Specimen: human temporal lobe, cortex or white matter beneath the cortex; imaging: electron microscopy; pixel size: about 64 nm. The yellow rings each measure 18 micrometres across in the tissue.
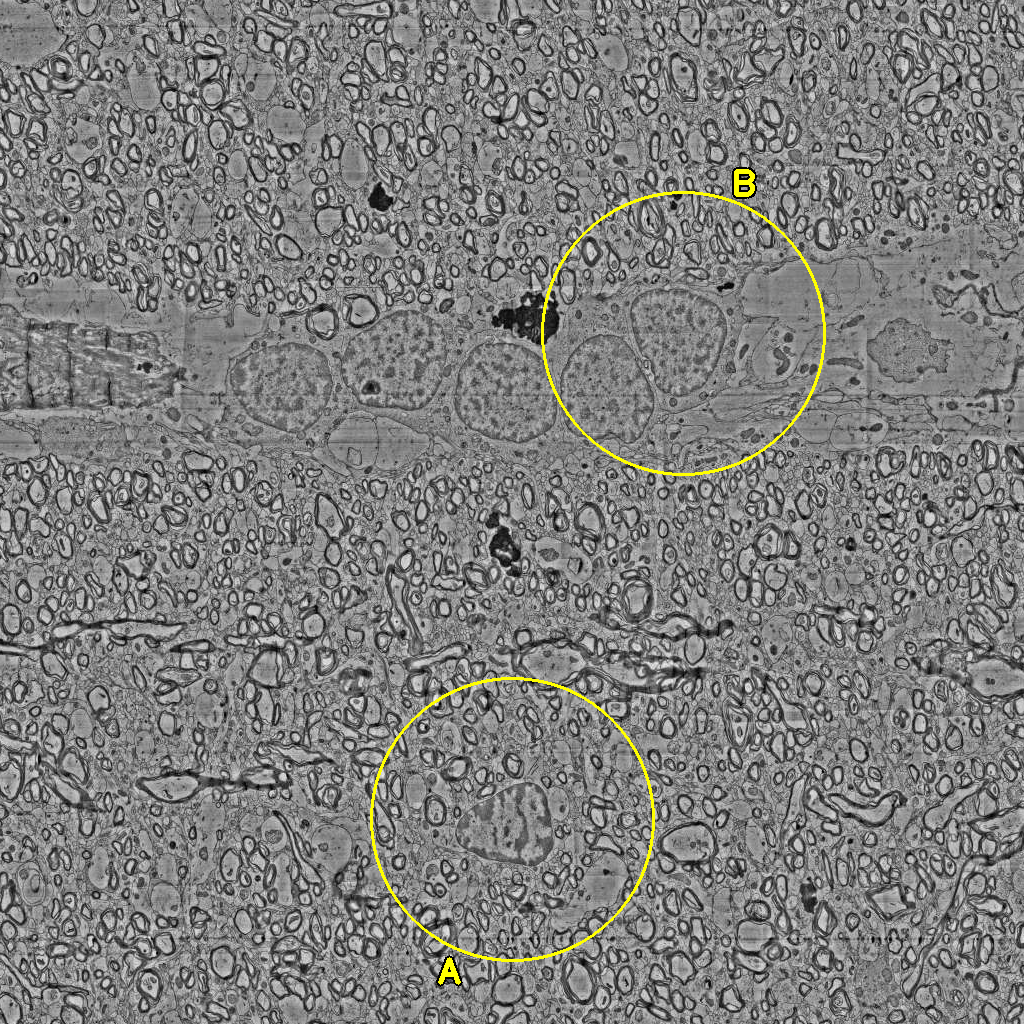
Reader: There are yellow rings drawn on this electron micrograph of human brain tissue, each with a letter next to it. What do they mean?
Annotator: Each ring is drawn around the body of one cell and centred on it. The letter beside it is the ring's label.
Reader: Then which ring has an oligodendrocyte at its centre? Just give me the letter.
B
